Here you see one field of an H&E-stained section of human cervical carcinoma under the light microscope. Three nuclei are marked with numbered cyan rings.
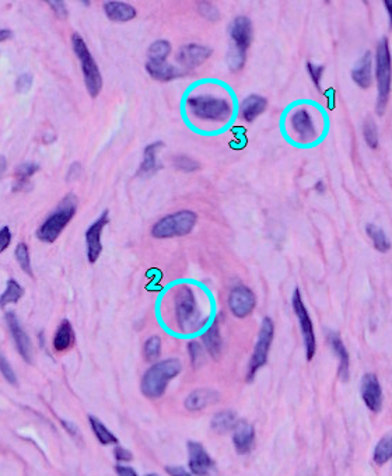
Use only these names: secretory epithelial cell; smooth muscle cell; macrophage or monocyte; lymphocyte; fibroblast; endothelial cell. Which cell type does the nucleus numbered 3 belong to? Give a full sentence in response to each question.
In the marked set, the cell given number 3 is a fibroblast.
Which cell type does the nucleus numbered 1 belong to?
Regarding cell 1, this one is a fibroblast.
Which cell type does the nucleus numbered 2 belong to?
Nucleus 2 in this section belongs to an endothelial cell.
